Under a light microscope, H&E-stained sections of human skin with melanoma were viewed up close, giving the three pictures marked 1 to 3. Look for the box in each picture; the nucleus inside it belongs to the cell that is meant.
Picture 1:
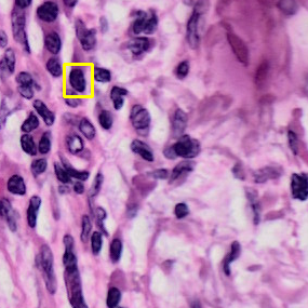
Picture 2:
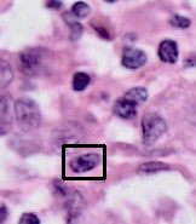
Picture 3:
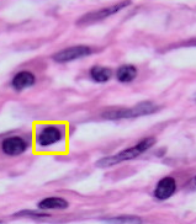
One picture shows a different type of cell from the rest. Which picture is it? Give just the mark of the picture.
2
